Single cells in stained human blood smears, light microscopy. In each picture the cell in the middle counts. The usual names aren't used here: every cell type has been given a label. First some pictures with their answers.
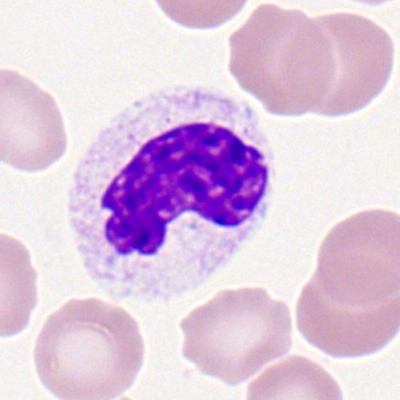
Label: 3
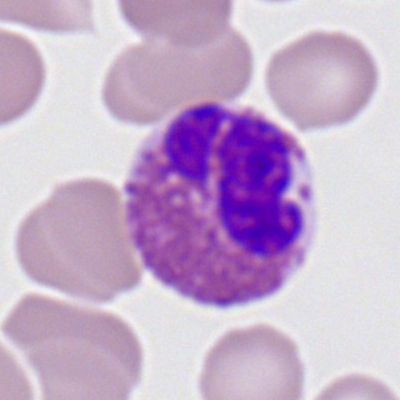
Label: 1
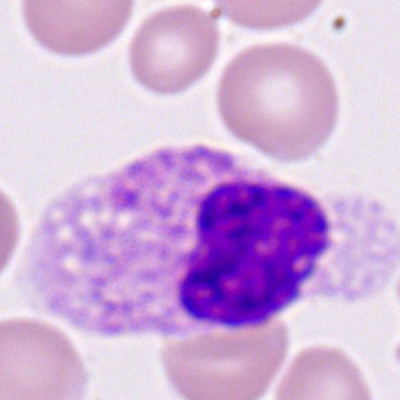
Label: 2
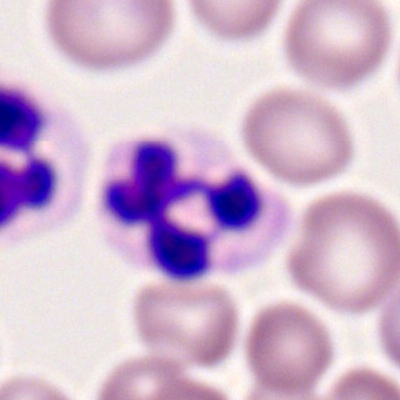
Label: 2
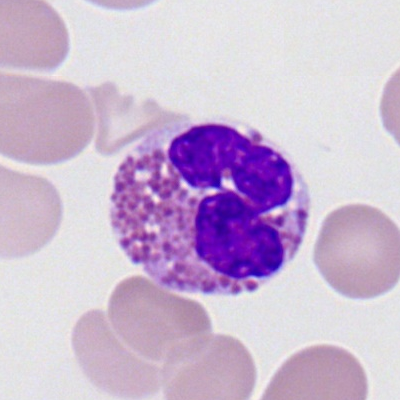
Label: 1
